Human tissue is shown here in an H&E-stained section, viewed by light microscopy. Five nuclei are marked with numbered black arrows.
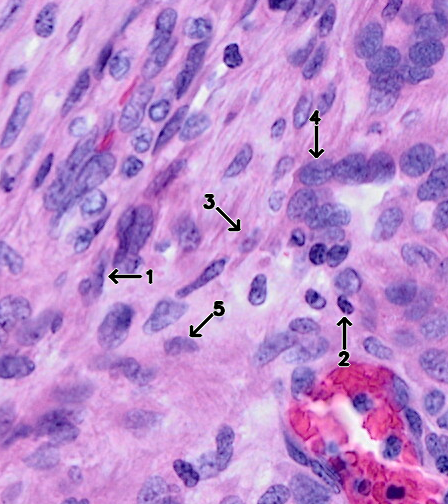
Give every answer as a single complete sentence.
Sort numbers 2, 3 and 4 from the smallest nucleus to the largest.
Smallest first, the nuclei run 2, 3, 4.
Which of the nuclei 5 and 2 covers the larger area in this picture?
Of the two, number 5 is bigger and takes up about 2 times the area of number 2.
